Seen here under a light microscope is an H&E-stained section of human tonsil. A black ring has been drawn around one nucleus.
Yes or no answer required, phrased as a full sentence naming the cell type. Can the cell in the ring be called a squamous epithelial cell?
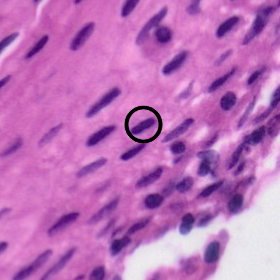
Yes, it is a squamous epithelial cell that the cell in the ring is.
